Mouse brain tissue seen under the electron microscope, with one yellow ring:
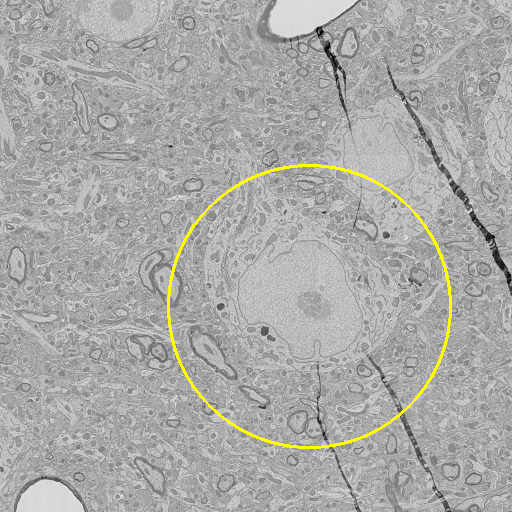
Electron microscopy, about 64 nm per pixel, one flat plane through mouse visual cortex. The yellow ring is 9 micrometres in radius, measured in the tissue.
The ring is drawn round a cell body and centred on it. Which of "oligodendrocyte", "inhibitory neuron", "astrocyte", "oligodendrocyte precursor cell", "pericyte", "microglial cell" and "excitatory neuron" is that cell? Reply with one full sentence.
The picture shows an inhibitory neuron at the very centre of the yellow ring.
